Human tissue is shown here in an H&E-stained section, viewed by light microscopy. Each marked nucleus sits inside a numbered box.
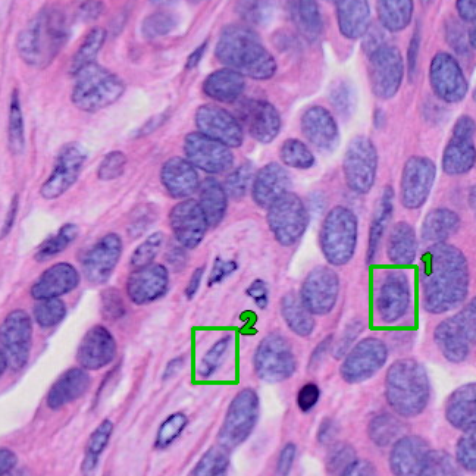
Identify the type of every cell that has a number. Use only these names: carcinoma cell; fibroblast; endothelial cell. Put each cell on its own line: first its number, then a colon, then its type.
1: carcinoma cell
2: fibroblast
